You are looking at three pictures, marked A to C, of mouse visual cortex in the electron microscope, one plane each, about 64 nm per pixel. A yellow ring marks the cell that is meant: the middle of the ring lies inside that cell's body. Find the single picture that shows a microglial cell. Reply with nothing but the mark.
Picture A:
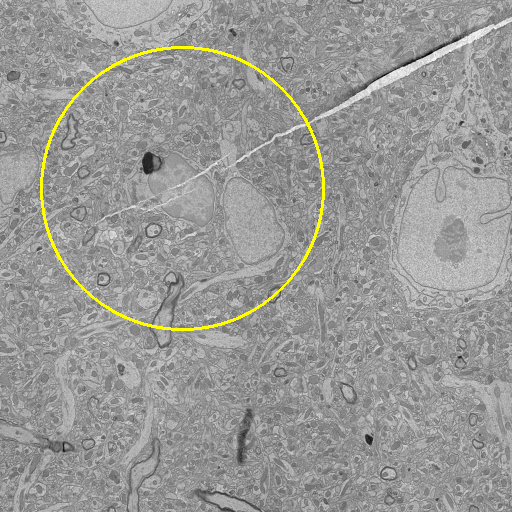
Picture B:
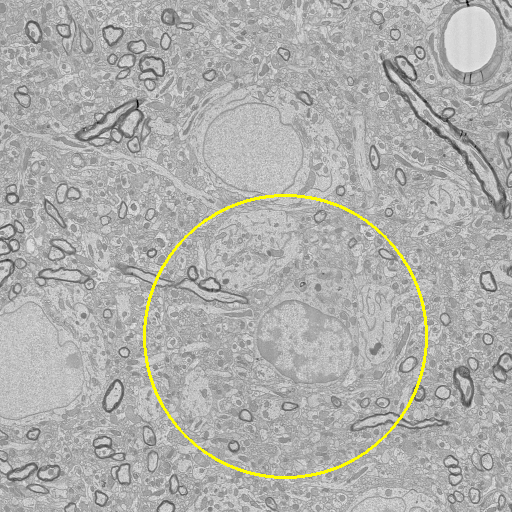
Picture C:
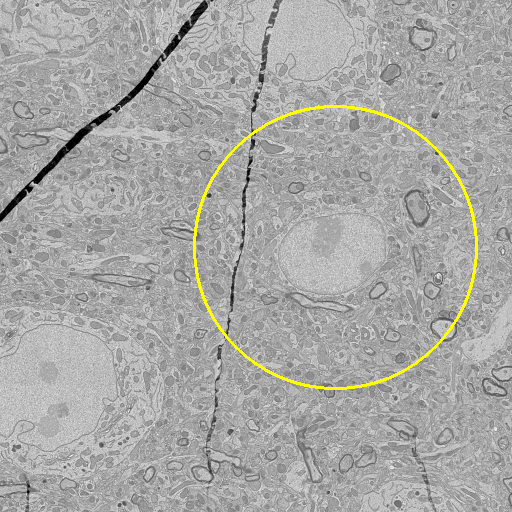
A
